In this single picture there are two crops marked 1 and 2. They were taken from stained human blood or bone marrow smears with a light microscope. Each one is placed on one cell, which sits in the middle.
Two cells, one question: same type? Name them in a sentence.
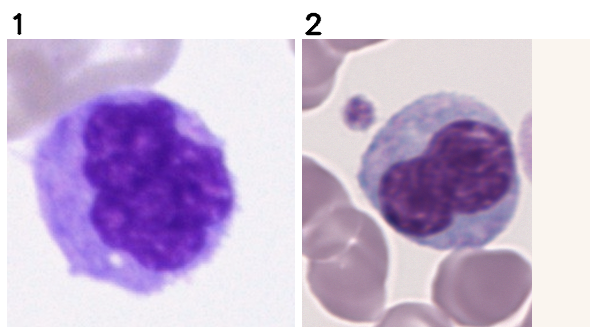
Yes, the two crops show monocytes, one cell each.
